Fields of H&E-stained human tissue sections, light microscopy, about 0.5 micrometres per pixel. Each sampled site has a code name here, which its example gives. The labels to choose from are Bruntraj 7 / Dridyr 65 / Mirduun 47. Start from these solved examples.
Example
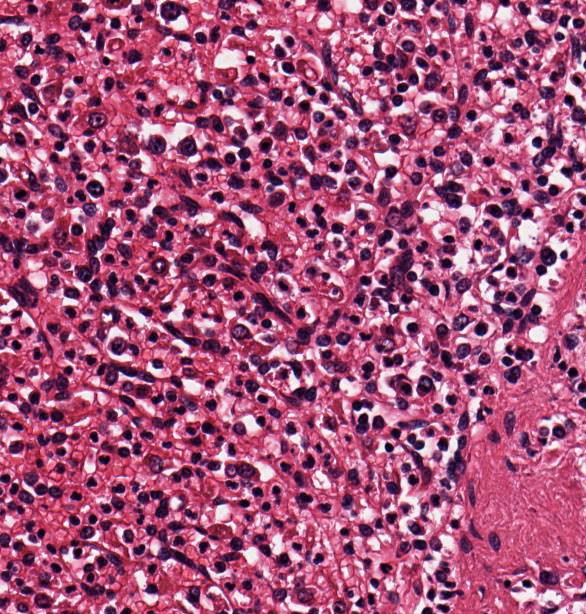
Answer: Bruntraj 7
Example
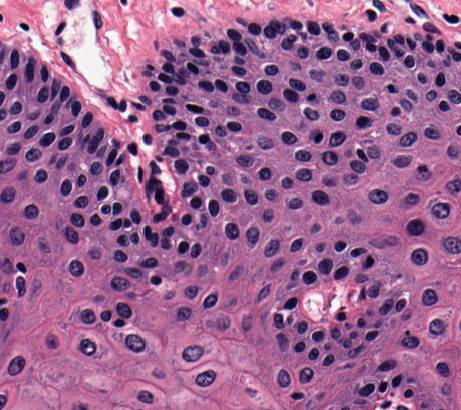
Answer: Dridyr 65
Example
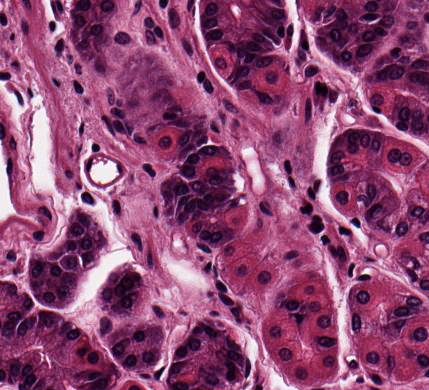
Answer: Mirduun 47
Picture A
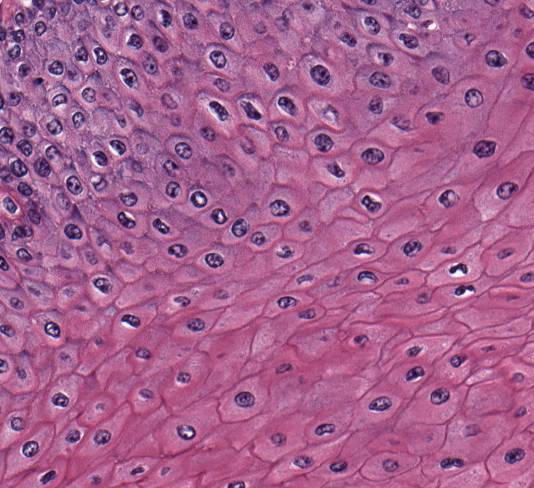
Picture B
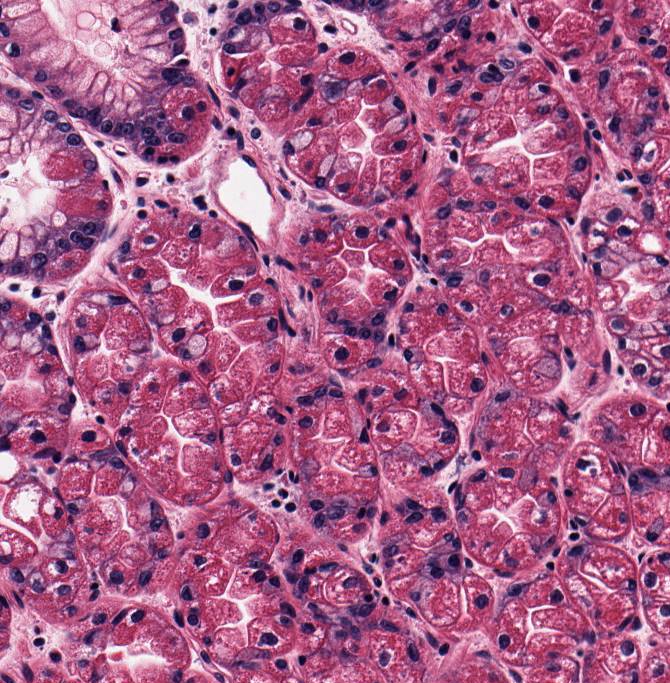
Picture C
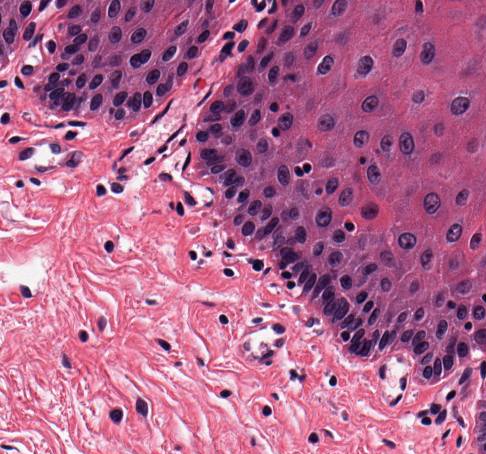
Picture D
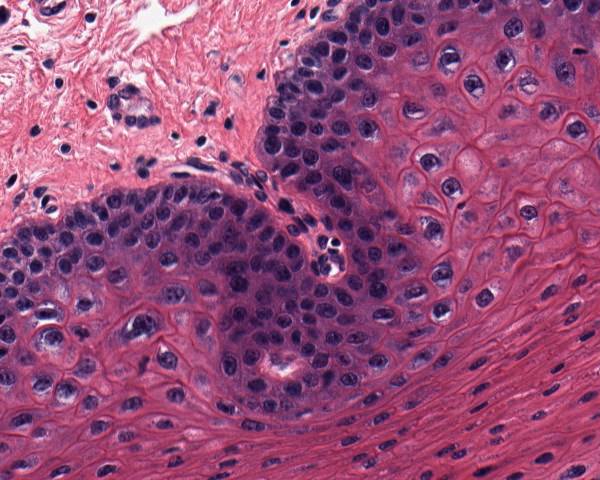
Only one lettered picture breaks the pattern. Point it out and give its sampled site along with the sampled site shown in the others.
Picture B: Mirduun 47. All others: Dridyr 65.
